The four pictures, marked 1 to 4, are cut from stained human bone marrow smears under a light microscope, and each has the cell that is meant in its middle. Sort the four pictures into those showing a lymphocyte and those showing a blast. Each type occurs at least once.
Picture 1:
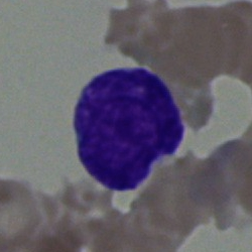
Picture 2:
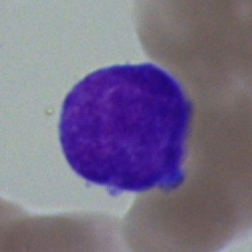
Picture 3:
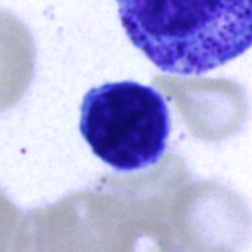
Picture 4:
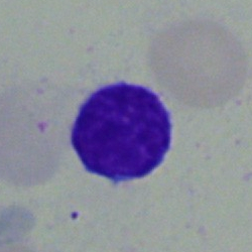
1: blast
2: blast
3: lymphocyte
4: lymphocyte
